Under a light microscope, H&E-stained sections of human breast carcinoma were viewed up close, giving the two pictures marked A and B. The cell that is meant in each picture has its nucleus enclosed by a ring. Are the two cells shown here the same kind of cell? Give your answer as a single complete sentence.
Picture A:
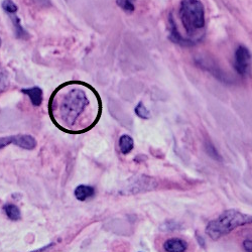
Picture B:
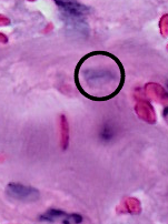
No, the types are not the same, since picture A shows a “macrophage, monocyte or dendritic cell” and picture B a fibroblast.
